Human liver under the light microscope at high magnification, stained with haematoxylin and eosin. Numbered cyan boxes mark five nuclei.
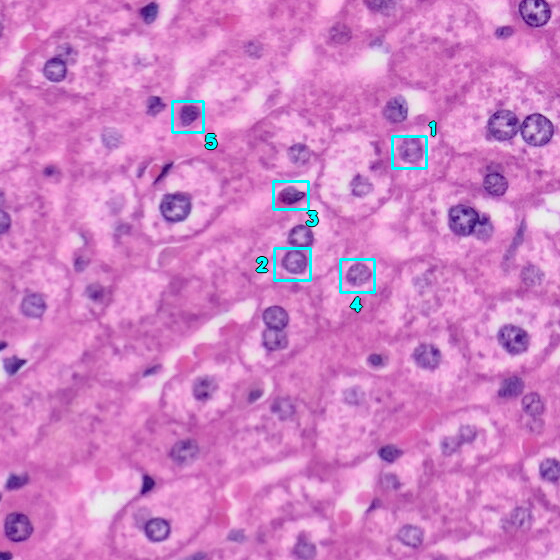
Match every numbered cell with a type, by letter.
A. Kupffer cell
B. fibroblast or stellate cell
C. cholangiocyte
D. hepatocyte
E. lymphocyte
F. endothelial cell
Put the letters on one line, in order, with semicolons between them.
D; D; F; D; B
